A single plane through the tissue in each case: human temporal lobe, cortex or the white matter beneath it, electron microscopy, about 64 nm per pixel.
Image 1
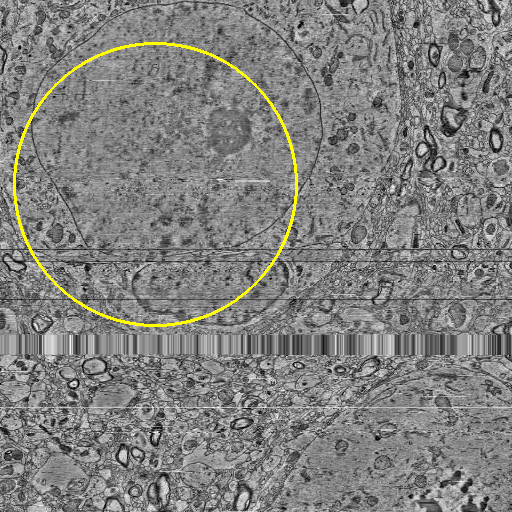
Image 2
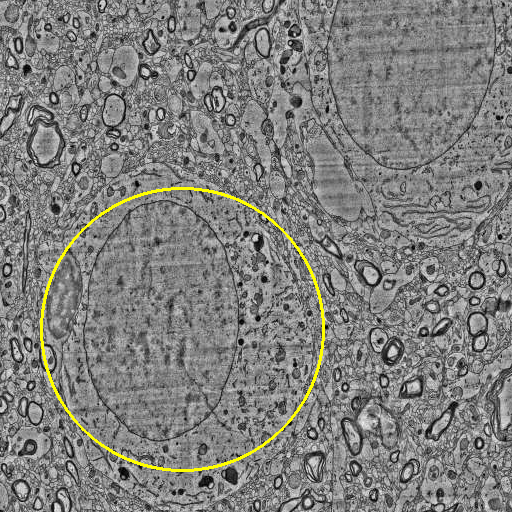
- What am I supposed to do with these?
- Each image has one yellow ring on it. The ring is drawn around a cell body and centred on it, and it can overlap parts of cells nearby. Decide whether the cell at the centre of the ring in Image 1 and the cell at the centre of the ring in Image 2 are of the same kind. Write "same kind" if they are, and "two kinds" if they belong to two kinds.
same kind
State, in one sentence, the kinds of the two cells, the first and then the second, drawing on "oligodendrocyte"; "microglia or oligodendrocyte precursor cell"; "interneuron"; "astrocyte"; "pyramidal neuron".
The ring centre holds a pyramidal neuron in each of the two pictures.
